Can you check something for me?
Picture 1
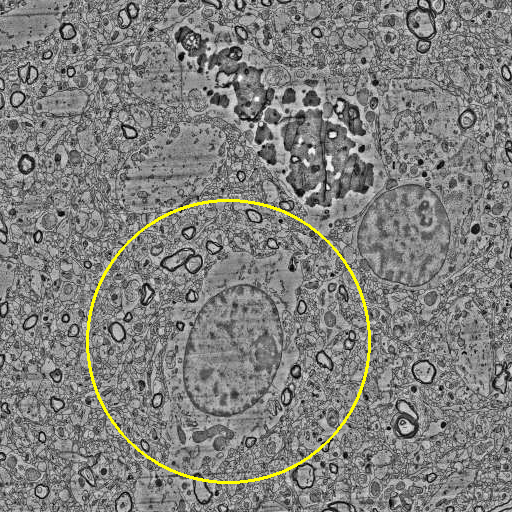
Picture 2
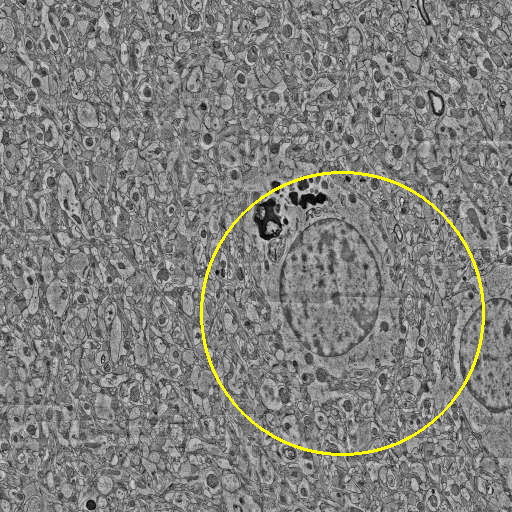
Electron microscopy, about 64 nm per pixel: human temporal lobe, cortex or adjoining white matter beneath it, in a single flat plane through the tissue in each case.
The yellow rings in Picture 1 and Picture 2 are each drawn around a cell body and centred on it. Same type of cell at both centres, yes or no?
yes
